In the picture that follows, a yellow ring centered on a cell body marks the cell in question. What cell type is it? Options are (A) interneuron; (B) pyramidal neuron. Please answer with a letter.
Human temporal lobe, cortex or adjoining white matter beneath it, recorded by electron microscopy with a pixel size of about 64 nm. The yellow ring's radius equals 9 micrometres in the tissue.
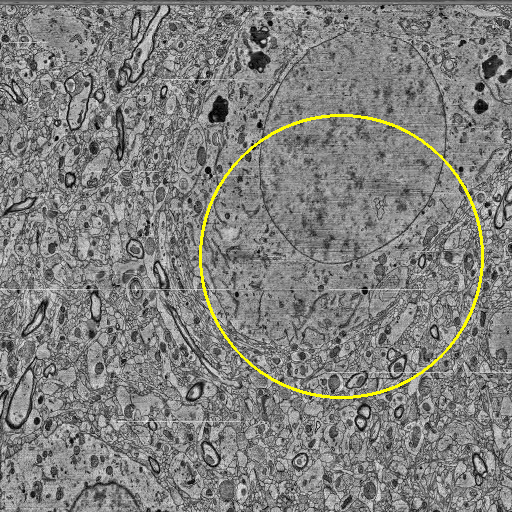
B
